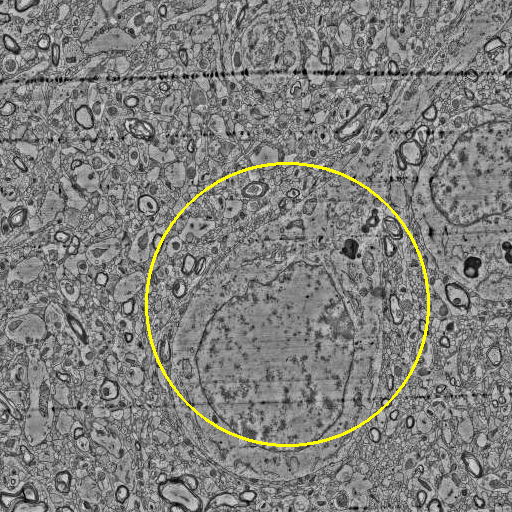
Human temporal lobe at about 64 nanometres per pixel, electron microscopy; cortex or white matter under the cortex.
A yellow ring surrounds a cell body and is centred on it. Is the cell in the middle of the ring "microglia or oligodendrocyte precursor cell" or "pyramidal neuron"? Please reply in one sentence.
The ring is centred on a pyramidal neuron.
